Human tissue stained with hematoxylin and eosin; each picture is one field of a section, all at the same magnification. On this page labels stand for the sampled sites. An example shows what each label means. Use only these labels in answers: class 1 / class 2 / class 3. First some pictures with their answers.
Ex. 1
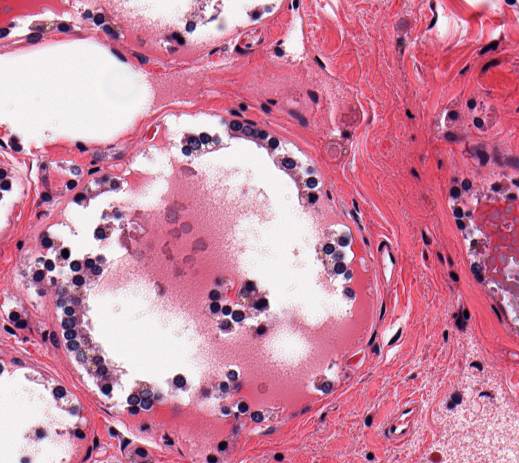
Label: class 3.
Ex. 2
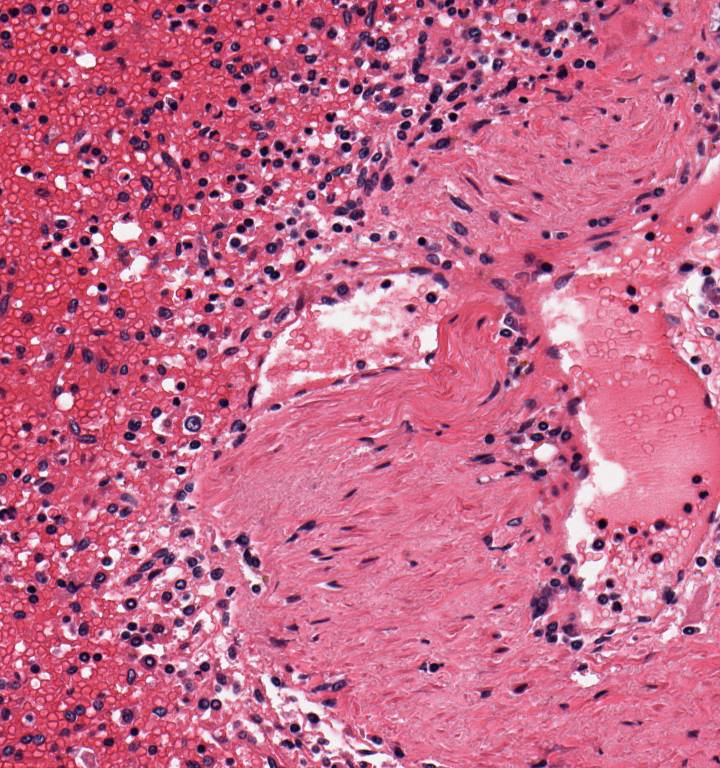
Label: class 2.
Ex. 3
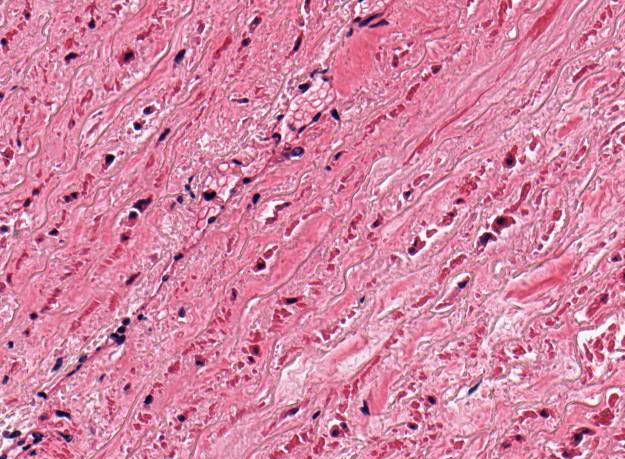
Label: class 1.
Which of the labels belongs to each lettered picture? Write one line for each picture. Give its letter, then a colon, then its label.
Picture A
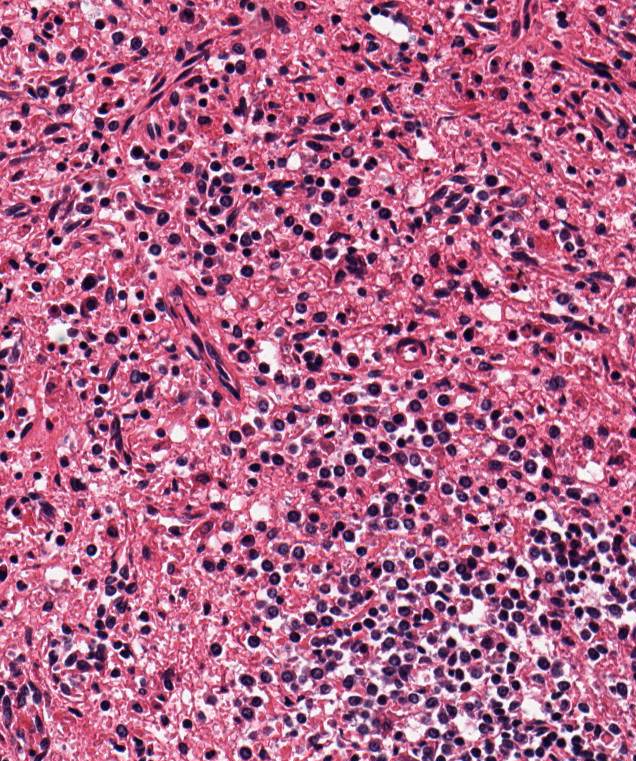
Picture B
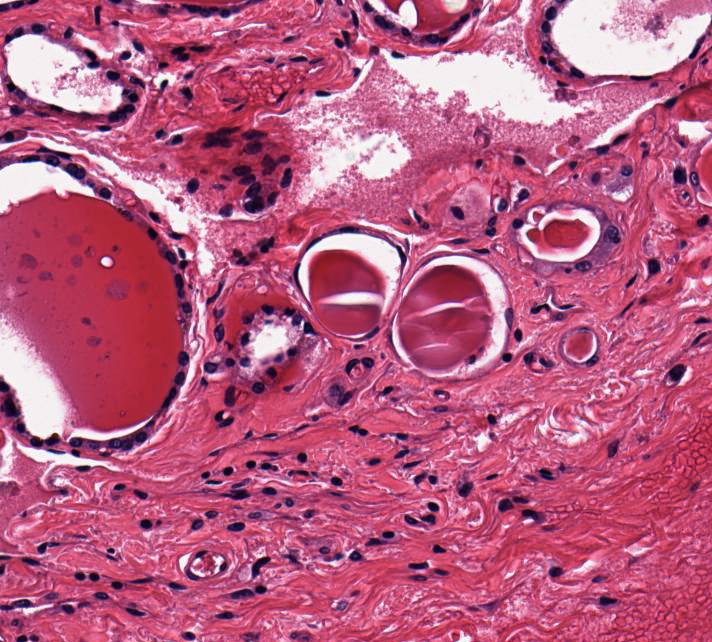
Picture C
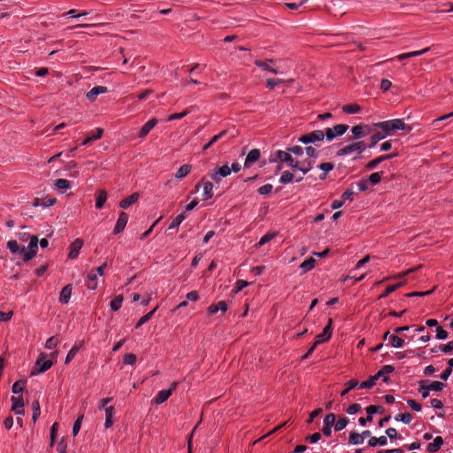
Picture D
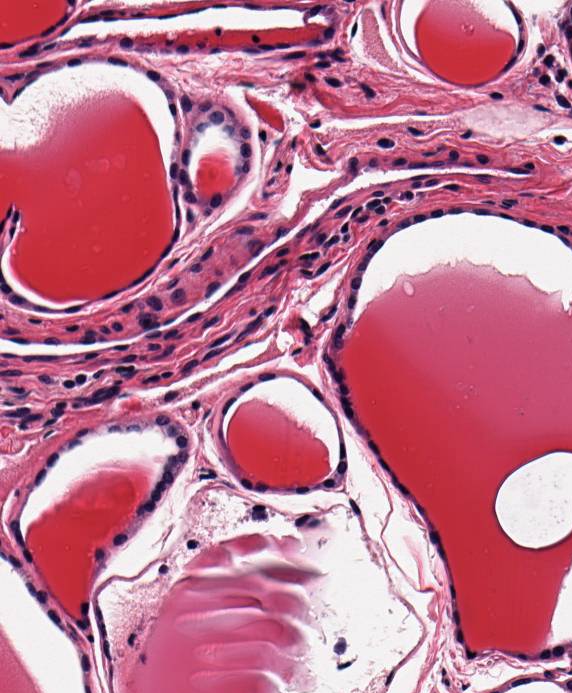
A: class 2.
B: class 3.
C: class 2.
D: class 3.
